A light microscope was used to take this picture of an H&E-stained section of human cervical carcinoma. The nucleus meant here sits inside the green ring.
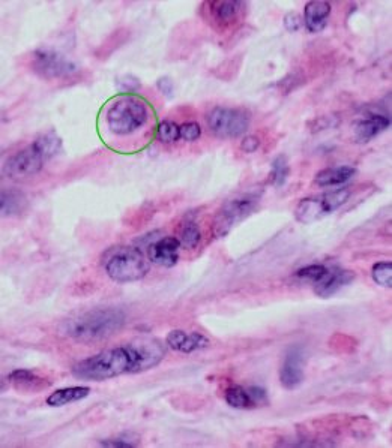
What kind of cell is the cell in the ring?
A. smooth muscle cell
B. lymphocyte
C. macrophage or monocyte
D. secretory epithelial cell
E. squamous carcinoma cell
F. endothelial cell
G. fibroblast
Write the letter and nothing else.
C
